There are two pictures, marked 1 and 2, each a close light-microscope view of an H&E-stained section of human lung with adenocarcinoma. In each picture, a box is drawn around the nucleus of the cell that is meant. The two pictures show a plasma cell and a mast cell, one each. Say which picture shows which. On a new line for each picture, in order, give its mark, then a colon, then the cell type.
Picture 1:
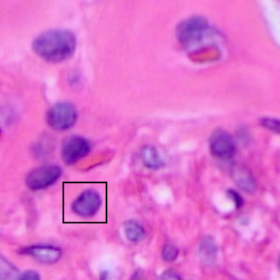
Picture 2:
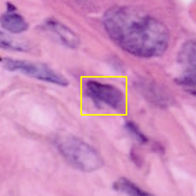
1: mast cell
2: plasma cell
